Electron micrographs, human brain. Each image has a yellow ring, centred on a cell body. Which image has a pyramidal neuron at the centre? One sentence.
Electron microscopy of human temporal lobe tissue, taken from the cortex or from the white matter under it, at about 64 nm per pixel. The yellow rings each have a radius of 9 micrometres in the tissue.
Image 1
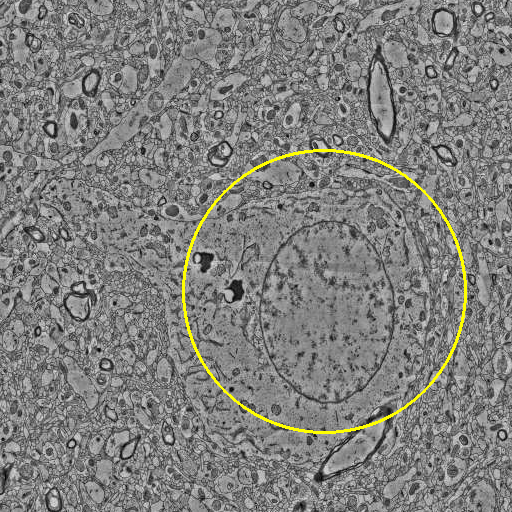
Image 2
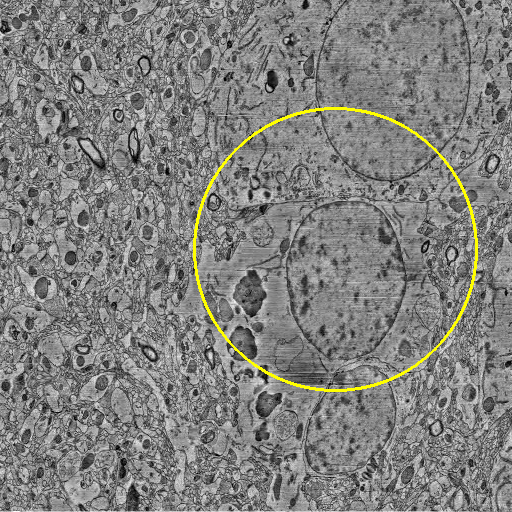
The ring in Image 1 is centred on it.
